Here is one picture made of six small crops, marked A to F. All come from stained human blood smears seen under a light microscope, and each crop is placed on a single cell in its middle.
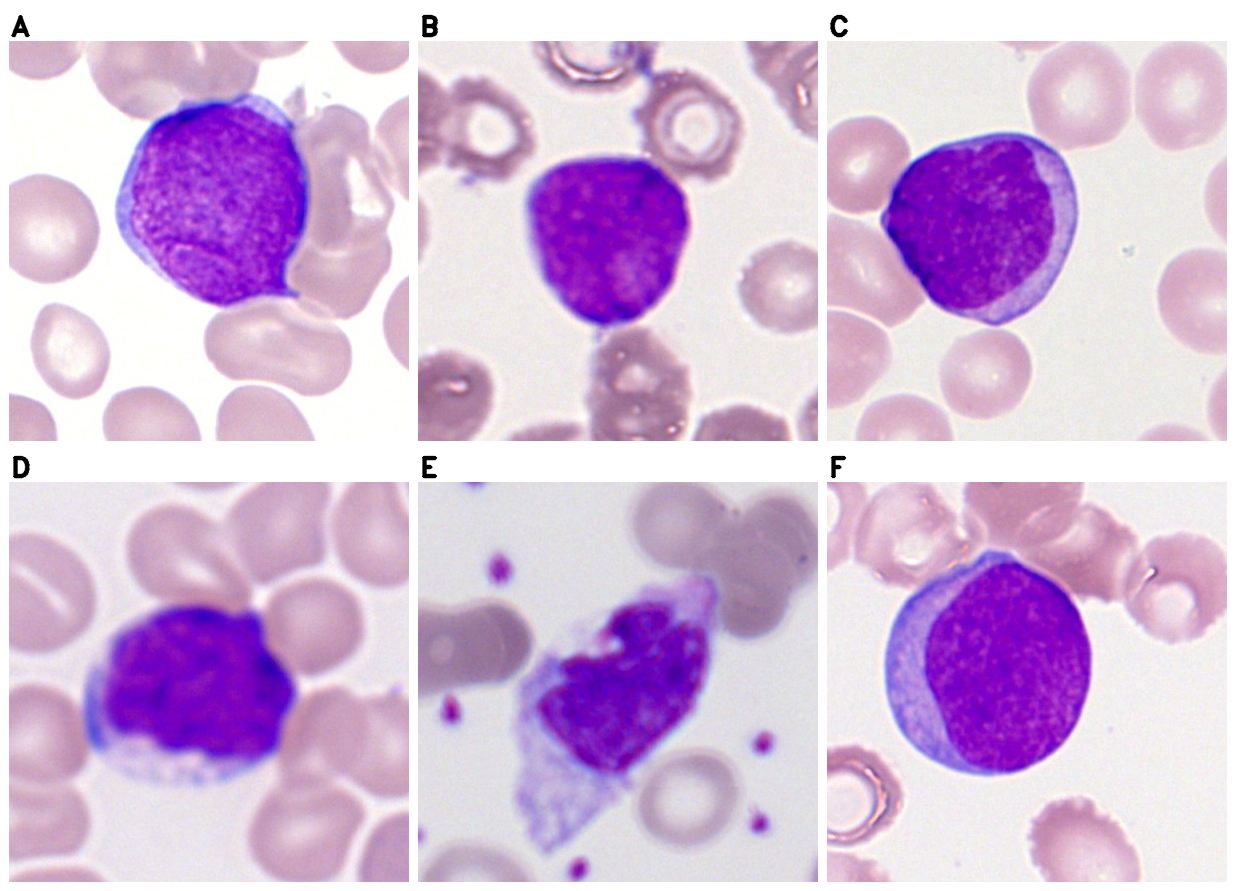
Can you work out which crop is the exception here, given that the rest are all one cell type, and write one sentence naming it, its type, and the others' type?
There is a monocyte in crop E, while all the other crops show blasts.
